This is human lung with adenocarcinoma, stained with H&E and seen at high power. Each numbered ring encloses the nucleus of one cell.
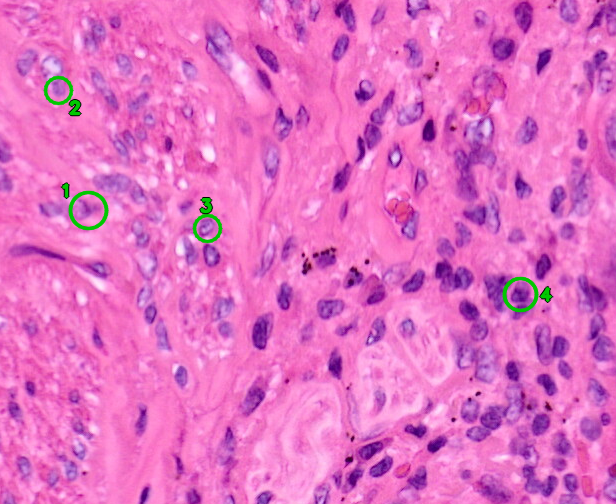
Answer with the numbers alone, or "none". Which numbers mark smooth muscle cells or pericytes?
1, 2, 3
